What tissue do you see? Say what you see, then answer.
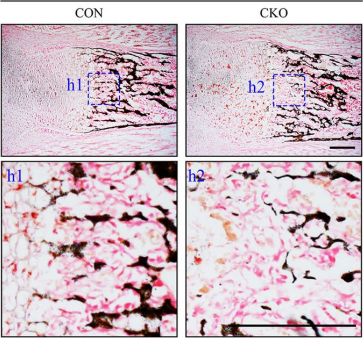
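A cartilage region with rounded cells in rows lies at the end of a long bone. Black-stained branching matrix begins at one edge of the cartilage and extends into the bone shaft. The answer: growth plates.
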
